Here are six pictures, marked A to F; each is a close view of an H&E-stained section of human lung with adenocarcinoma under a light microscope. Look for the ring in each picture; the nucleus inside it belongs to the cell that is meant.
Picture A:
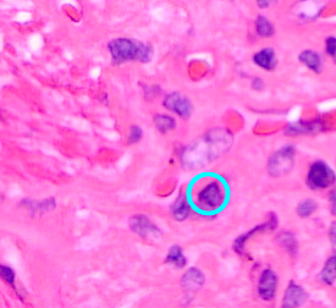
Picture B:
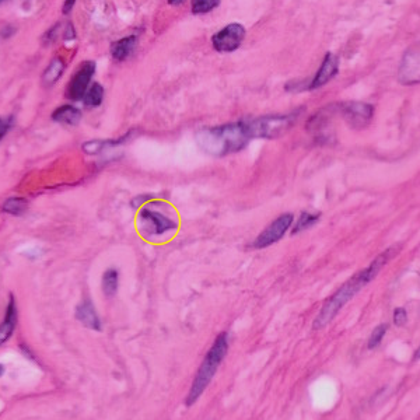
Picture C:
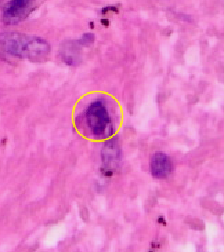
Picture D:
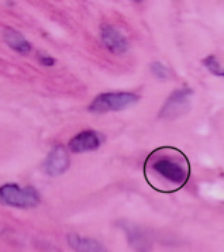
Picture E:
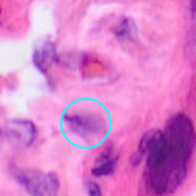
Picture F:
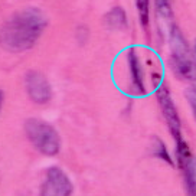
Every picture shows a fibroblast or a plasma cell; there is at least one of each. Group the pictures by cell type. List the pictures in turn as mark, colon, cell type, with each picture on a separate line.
A: plasma cell
B: fibroblast
C: plasma cell
D: plasma cell
E: fibroblast
F: fibroblast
